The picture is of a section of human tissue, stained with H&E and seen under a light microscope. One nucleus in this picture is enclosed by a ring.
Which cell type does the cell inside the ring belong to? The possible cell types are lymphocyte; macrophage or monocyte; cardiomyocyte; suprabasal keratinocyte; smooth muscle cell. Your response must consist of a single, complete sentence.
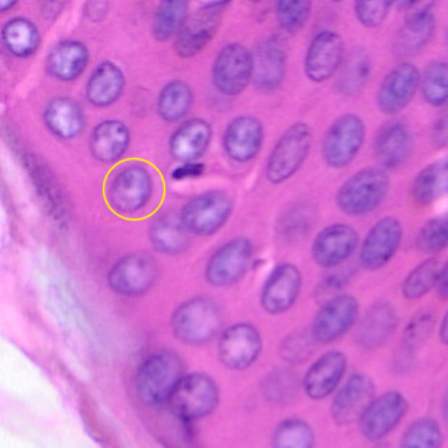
To be brief about it, the cell inside the ring is a suprabasal keratinocyte.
